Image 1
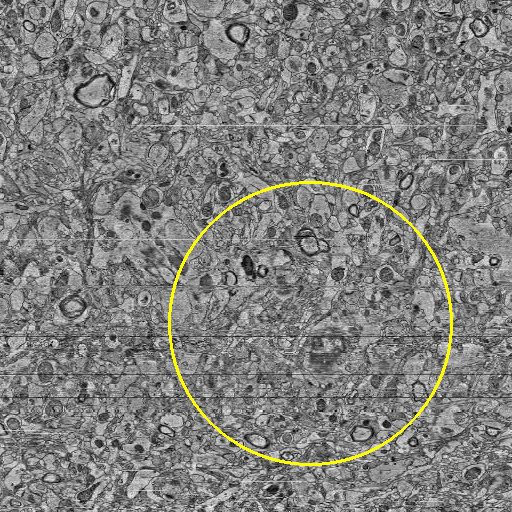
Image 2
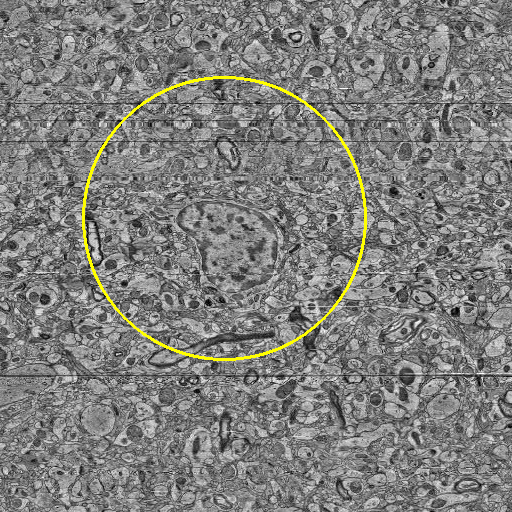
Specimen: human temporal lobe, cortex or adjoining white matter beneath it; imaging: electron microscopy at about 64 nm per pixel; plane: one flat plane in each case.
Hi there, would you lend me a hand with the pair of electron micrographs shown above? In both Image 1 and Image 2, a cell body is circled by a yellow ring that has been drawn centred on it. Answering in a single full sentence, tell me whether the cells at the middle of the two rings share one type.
Yes, the ringed cells in Image 1 and Image 2 share one type.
